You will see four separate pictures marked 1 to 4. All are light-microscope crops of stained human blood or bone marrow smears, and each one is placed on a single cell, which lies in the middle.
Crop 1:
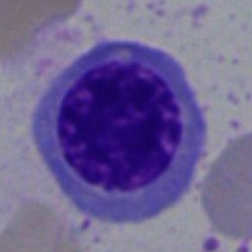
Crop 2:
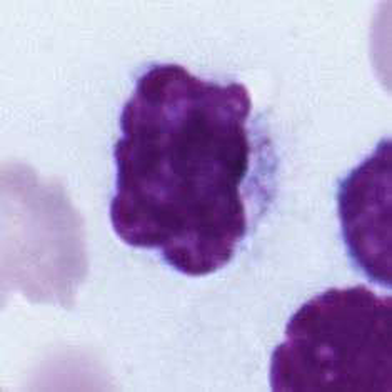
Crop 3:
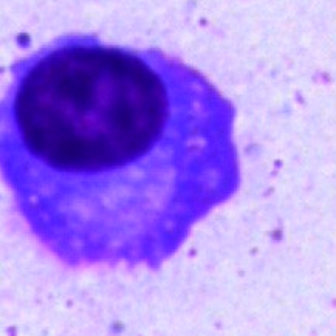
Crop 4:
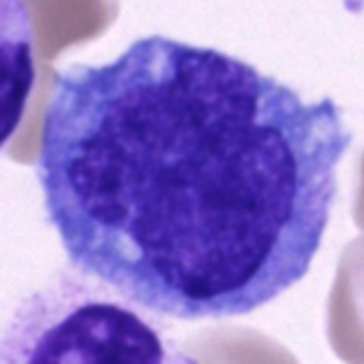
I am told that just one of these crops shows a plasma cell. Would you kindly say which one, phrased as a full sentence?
Crop 3 is where a plasma cell is shown.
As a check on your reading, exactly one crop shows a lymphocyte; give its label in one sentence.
The one showing a lymphocyte is crop 2.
